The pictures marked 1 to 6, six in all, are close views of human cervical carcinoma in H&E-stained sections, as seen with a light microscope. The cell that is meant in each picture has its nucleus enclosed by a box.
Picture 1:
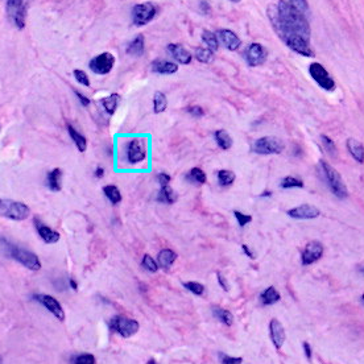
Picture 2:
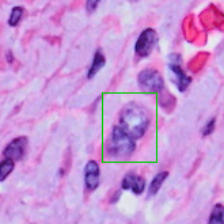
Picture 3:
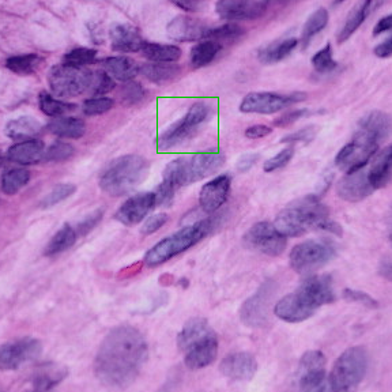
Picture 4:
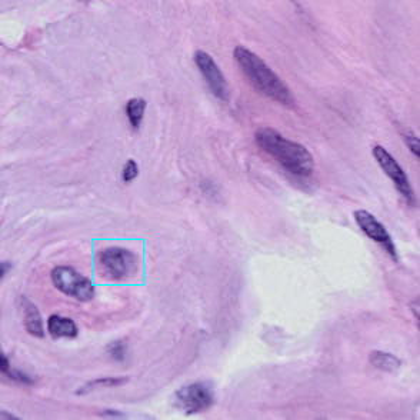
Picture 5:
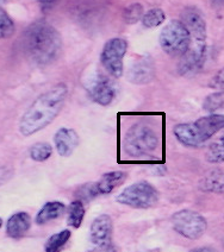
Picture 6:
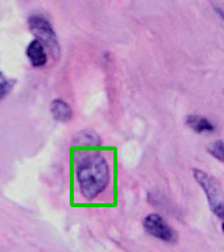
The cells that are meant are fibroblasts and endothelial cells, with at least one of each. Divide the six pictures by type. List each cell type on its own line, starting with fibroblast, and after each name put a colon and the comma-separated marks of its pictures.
fibroblast: 1, 3
endothelial cell: 2, 4, 5, 6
